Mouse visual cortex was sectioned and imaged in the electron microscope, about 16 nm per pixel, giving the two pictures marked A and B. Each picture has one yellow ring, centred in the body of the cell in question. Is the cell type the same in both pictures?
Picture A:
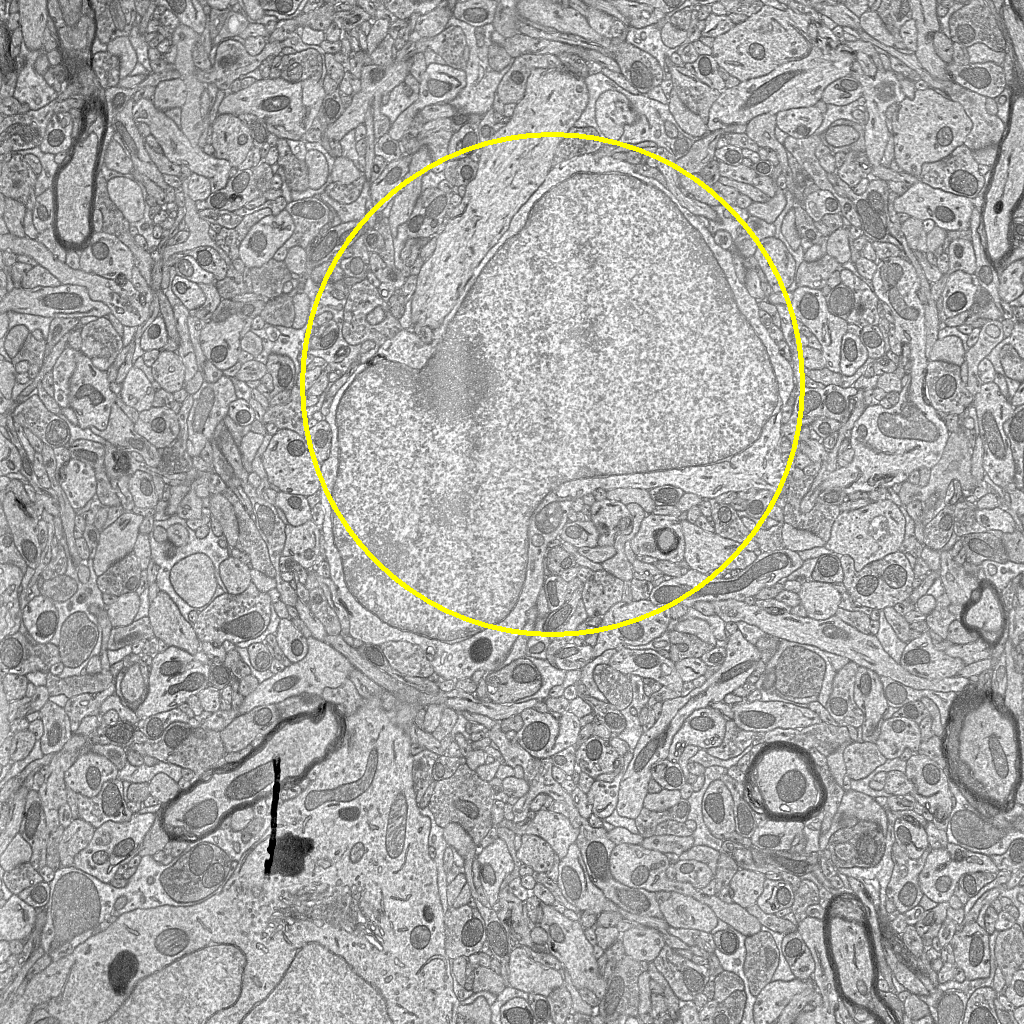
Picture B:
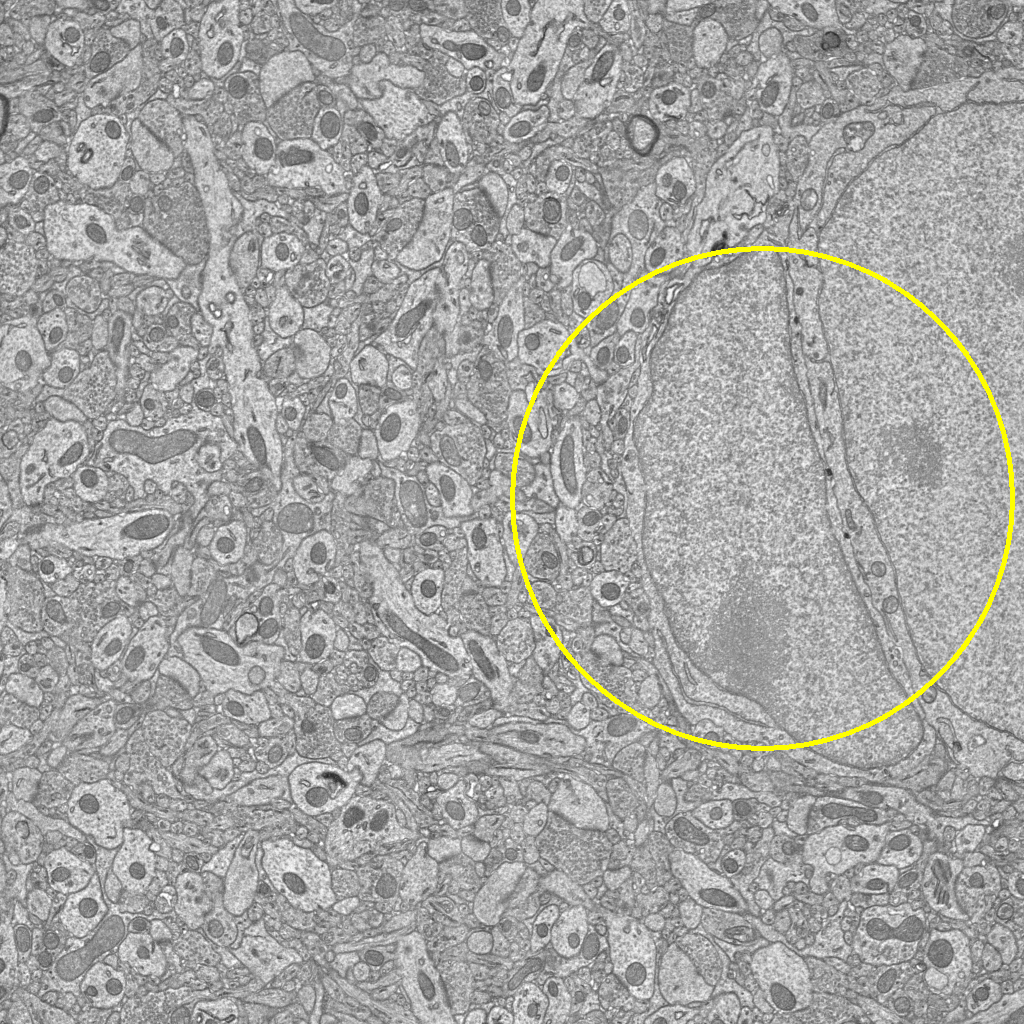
Yes, they are the same type: both are oligodendrocyte precursor cells.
